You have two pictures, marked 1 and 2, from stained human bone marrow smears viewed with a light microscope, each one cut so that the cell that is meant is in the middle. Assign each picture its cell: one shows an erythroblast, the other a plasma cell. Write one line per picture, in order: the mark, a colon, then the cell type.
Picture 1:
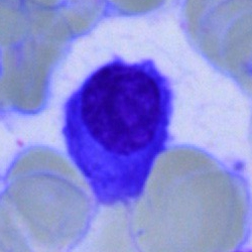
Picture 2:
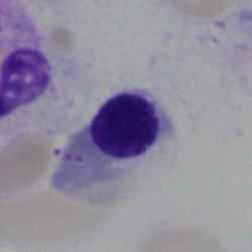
1: plasma cell
2: erythroblast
